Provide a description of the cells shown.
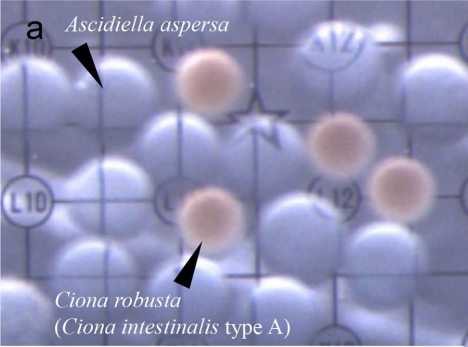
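Many large, perfectly round single cells lie packed together on a surface ruled with a dark grid and printed labels. Most of them are pale and bluish-grey, so clear that the grid lines show through them, while a few scattered among them are evenly pinkish-orange and opaque, with a slightly fuzzy rim. The size and round shape of these cells mark them as eggs, and they fall into two kinds that differ plainly in how much light passes through them.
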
